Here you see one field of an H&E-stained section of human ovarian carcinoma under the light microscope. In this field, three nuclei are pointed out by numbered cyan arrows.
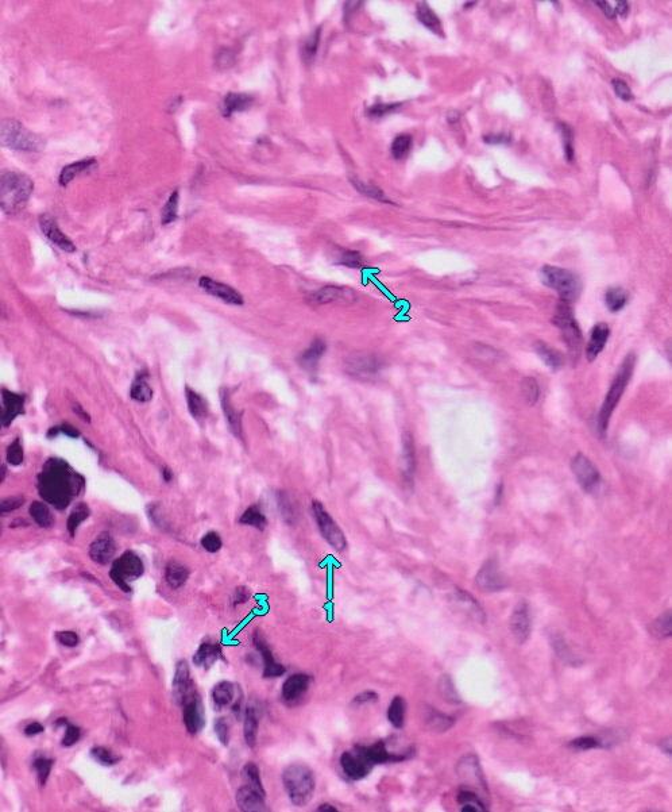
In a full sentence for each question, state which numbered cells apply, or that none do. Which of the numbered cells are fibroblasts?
Cells that were given the numbers 1 and 2 are fibroblasts.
